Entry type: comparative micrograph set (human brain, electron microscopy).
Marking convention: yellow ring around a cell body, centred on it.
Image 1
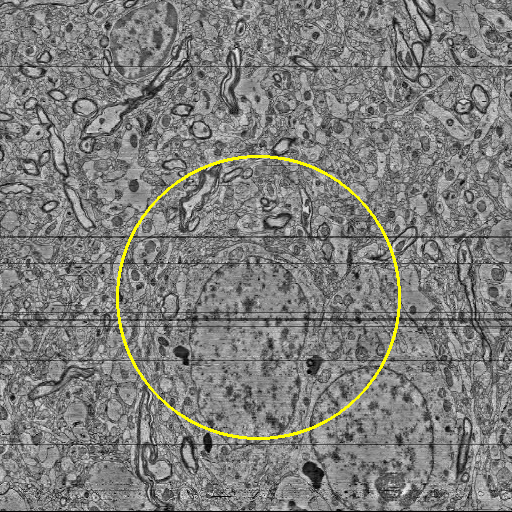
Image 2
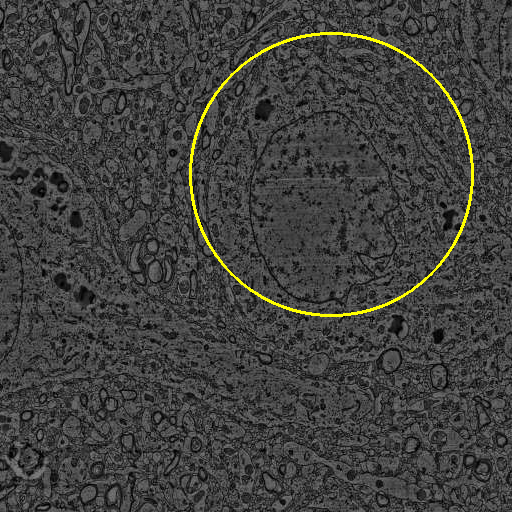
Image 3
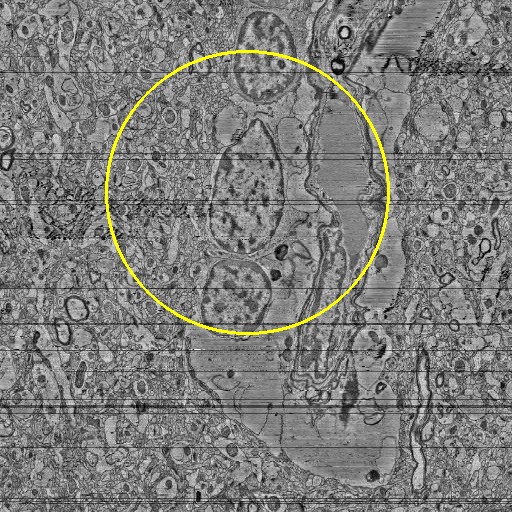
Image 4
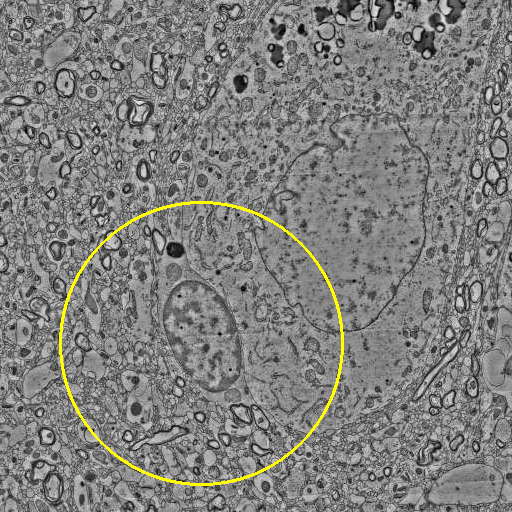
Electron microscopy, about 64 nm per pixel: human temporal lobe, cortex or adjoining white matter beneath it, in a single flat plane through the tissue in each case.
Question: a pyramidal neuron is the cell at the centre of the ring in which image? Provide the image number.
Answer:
2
